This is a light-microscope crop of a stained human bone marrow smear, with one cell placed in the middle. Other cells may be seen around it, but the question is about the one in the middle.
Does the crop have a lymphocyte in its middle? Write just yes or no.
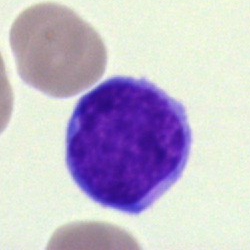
yes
